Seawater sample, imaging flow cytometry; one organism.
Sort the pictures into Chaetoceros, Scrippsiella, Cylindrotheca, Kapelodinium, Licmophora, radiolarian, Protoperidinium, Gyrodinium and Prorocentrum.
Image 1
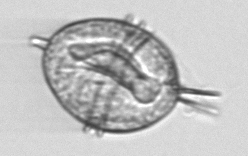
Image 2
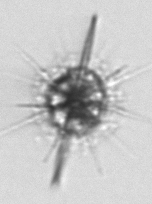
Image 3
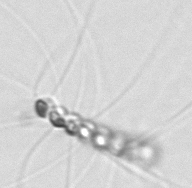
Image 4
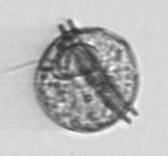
Protoperidinium: 1, 4
Radiolarians: 2
Chaetoceros: 3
